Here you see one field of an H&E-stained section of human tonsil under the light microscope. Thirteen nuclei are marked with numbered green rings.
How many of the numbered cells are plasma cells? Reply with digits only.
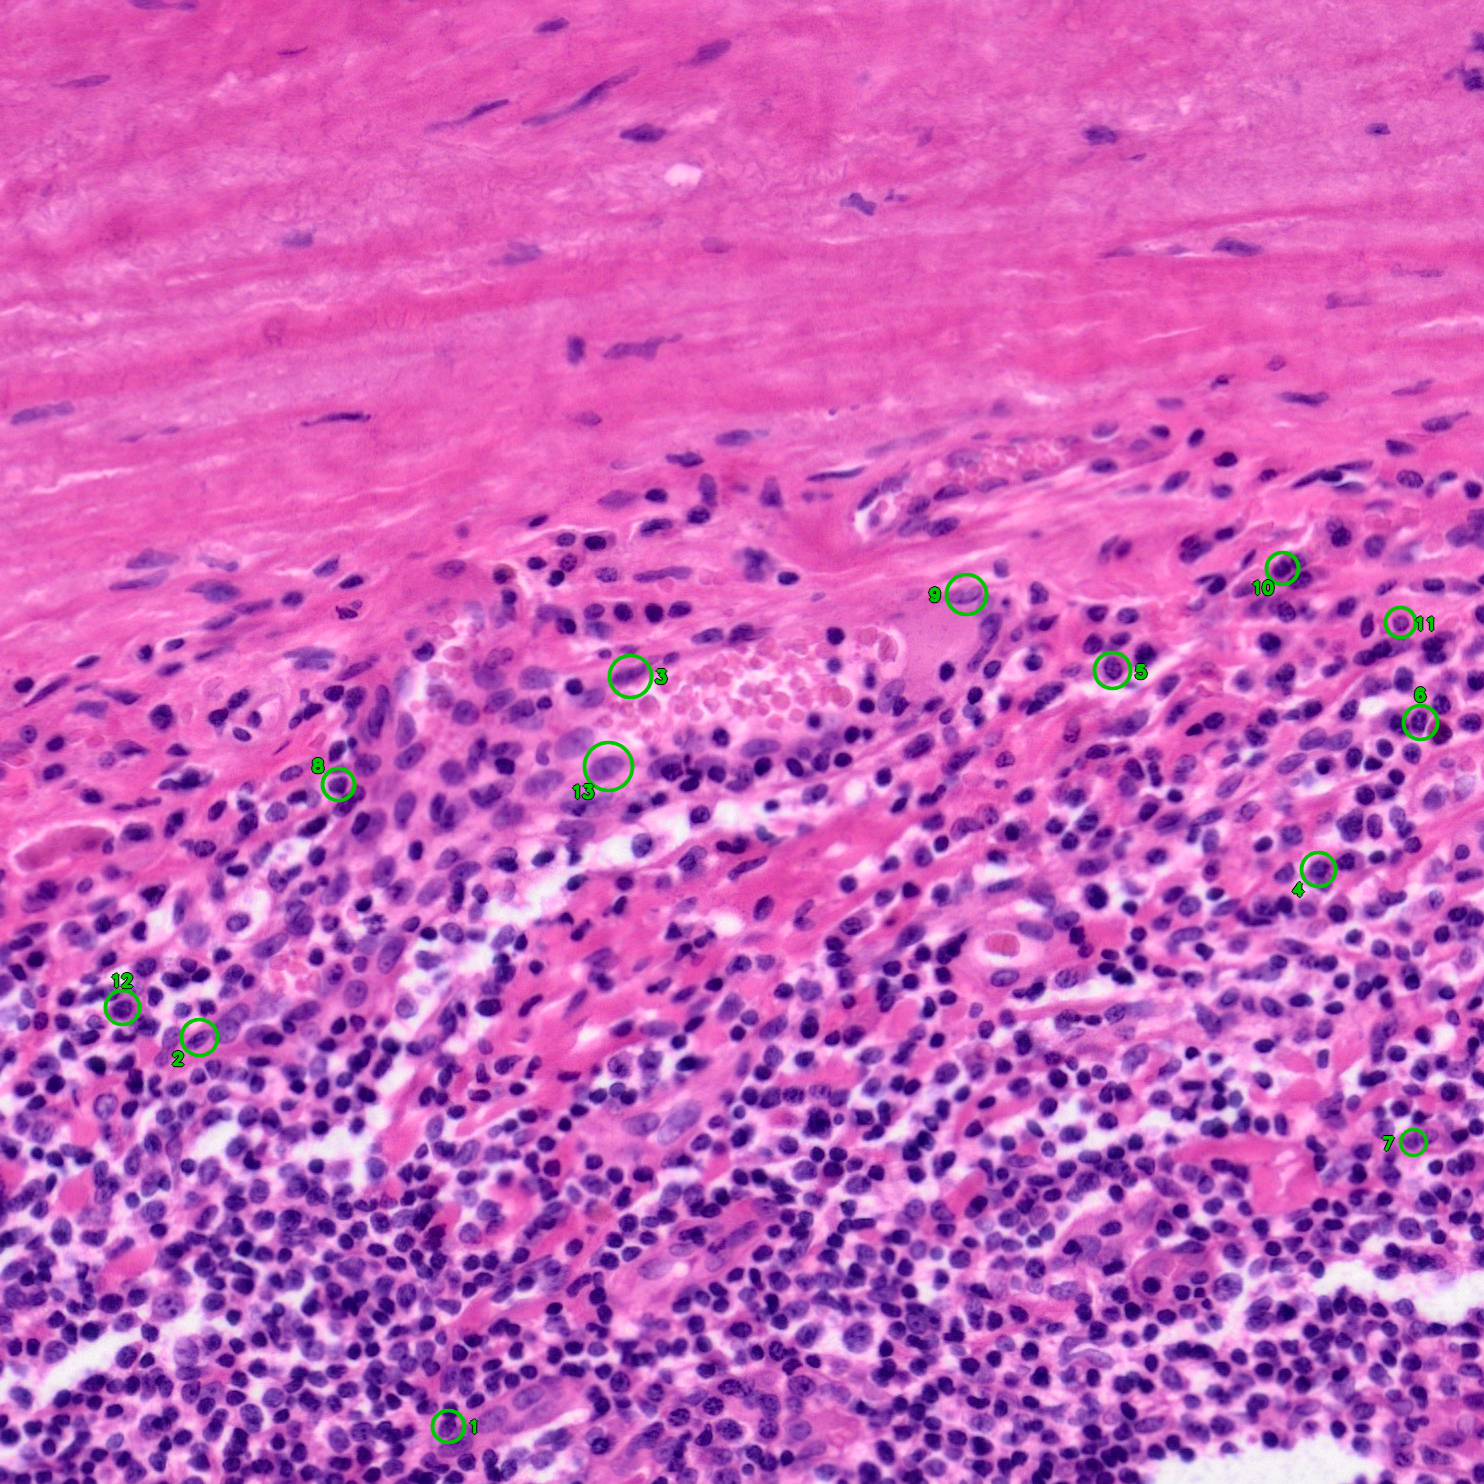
5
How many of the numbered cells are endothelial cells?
6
